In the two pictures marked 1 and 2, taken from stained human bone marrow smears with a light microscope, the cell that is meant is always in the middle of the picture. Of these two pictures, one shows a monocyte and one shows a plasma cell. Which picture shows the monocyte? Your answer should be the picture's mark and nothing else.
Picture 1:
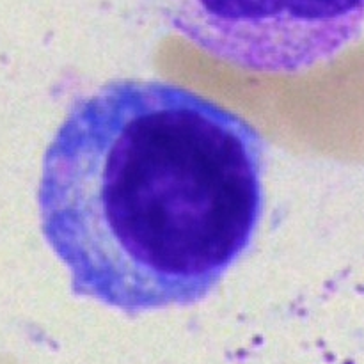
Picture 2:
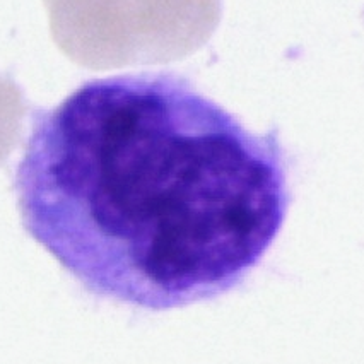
2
